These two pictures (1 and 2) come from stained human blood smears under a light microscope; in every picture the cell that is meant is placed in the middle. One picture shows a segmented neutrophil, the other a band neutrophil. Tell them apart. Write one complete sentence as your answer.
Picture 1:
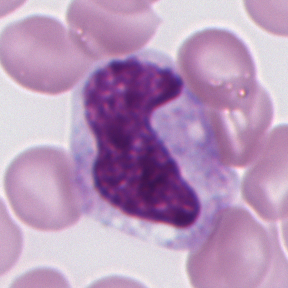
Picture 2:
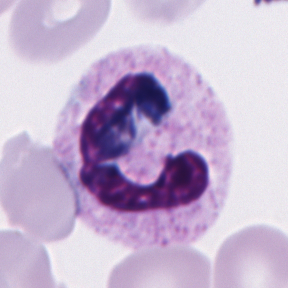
Picture 1 is of a band neutrophil, and picture 2 is of a segmented neutrophil.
